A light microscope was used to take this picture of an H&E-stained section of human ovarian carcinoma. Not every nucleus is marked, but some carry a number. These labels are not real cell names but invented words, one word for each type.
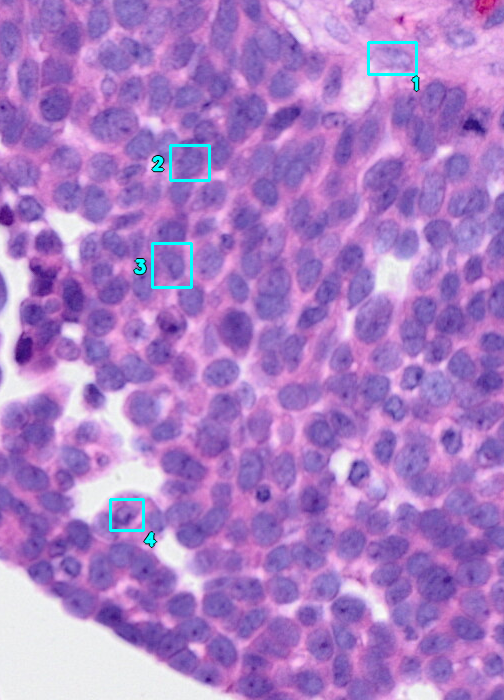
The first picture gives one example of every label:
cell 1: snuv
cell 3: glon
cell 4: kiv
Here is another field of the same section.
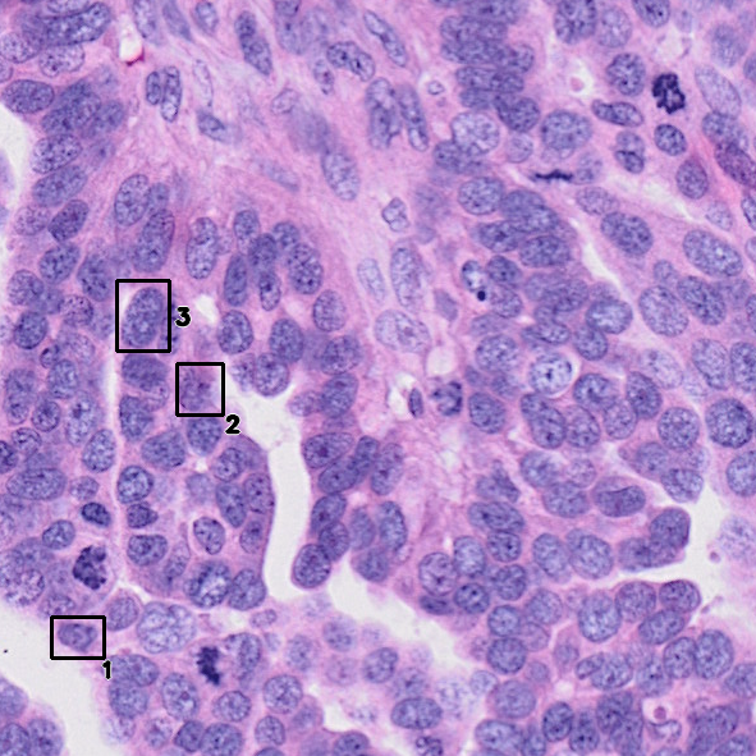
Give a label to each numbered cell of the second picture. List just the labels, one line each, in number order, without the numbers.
kiv
glon
glon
